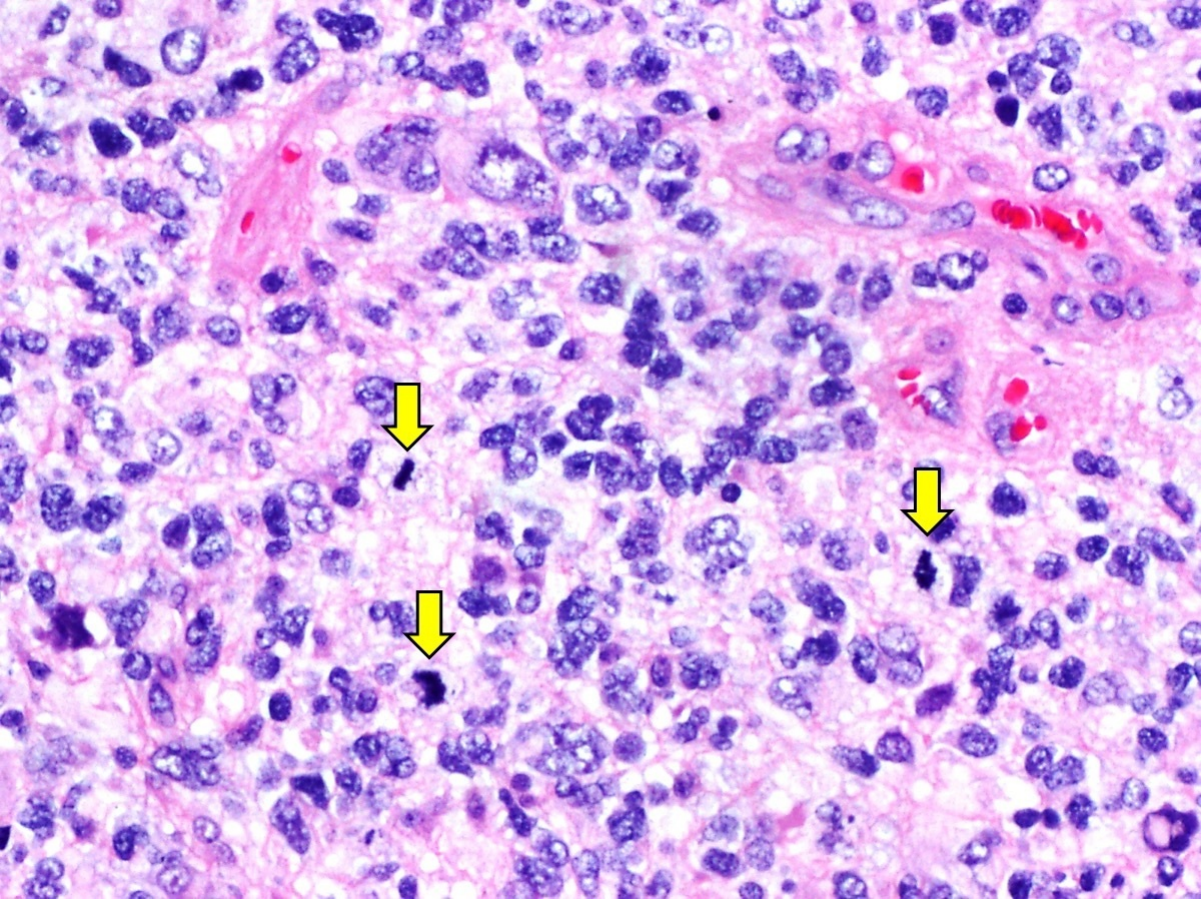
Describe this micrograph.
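This is a densely cellular tumour in which crowded cells with large, dark purple, pleomorphic nuclei lie in a pale pink, finely fibrillary background. The nuclei vary widely in size and shape, some hyperchromatic and others with open chromatin and visible nucleoli, and a few very large bizarre nuclei stand out. Scattered among them are several small, very dark, condensed and irregular chromatin clumps that are mitotic figures. Small blood vessels with pink walls and red blood cells in their lumens run across the upper part of the field.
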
